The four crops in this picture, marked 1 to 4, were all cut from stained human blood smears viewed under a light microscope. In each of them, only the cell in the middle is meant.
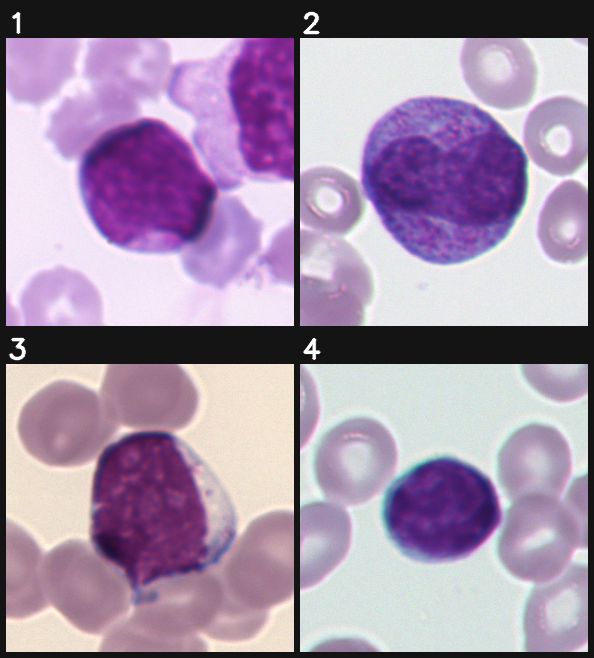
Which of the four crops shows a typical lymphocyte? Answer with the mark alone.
4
